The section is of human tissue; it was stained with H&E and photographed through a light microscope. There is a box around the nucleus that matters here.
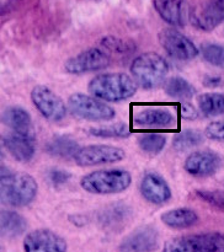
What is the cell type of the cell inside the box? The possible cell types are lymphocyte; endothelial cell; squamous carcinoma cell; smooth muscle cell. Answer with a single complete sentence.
Histopathologically, the cell inside the box is a squamous carcinoma cell.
